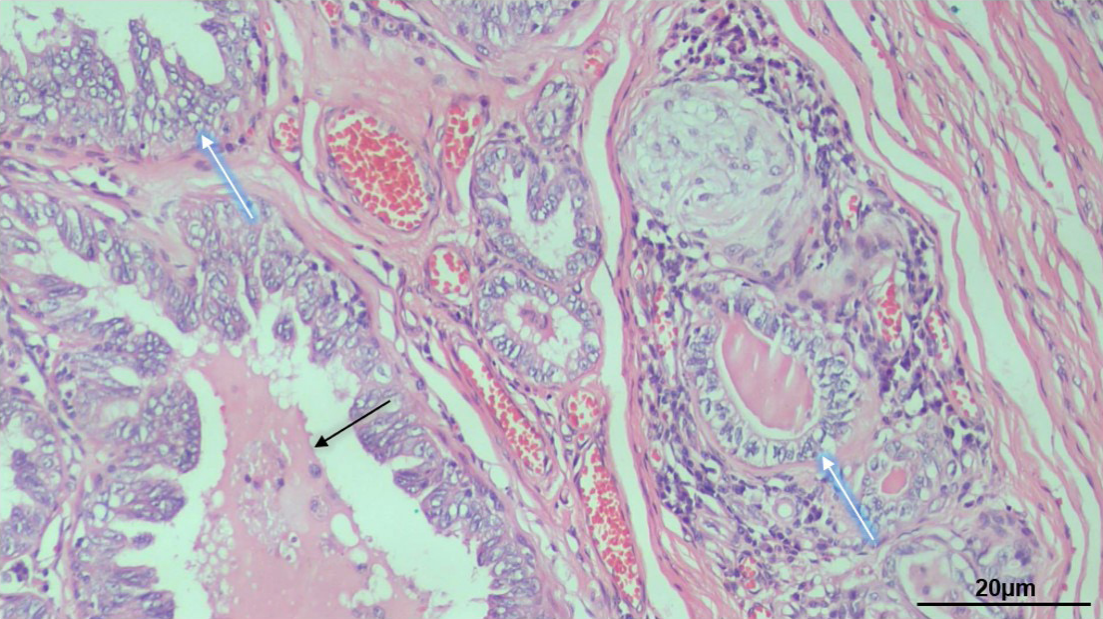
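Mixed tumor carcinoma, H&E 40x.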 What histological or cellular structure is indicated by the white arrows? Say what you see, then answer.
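Cubic to columnar epithelial foci with high pleomorphism. The lining cells range from cube-shaped to tall column-shaped. The nuclei differ in size and shape from cell to cell.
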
